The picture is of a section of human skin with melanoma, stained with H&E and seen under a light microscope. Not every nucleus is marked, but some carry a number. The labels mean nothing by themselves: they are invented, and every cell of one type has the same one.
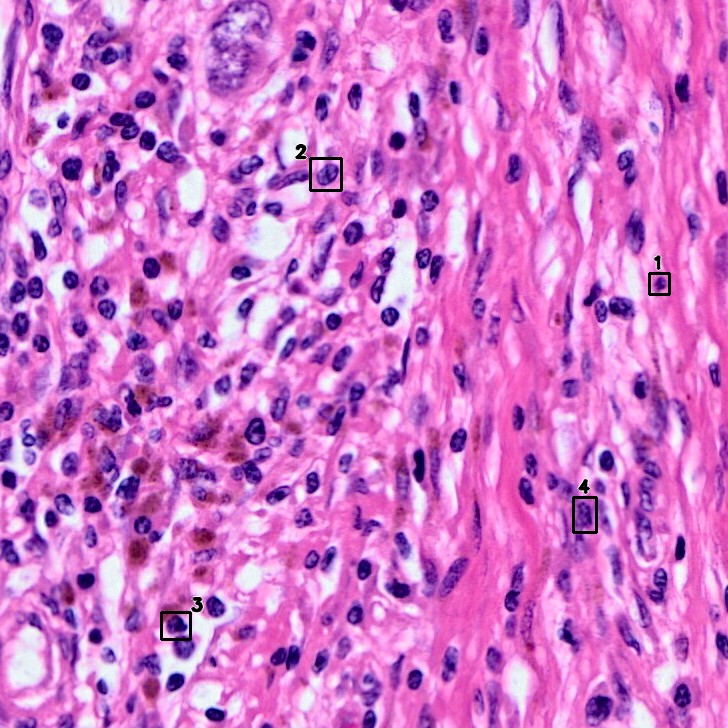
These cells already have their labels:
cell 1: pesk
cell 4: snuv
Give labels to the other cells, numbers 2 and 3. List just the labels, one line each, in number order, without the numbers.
pesk
pesk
